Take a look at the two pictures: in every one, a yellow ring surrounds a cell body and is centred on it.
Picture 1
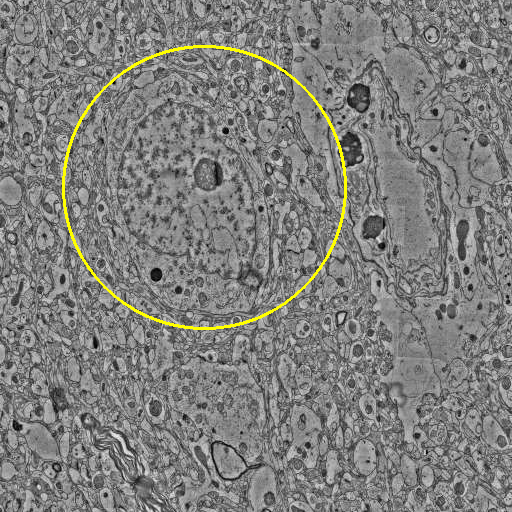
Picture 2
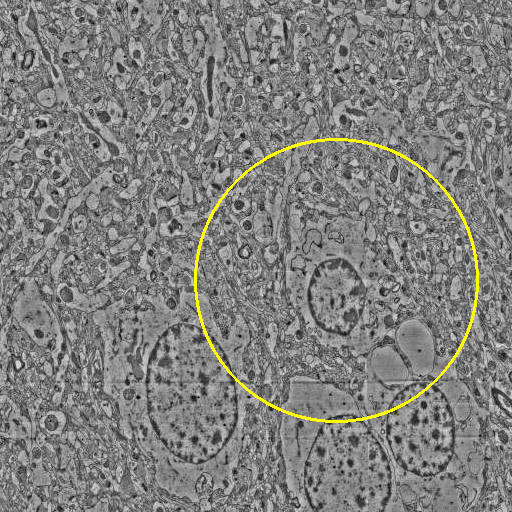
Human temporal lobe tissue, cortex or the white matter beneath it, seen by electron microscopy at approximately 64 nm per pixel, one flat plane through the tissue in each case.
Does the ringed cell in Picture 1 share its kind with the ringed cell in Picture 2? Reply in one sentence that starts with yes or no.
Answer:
No, the two centred cells, one per picture, are of two kinds.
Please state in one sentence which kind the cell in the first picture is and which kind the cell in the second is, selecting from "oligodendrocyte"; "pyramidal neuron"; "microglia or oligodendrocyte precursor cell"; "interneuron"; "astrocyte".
The first ringed cell is an interneuron, the second ringed cell an astrocyte.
